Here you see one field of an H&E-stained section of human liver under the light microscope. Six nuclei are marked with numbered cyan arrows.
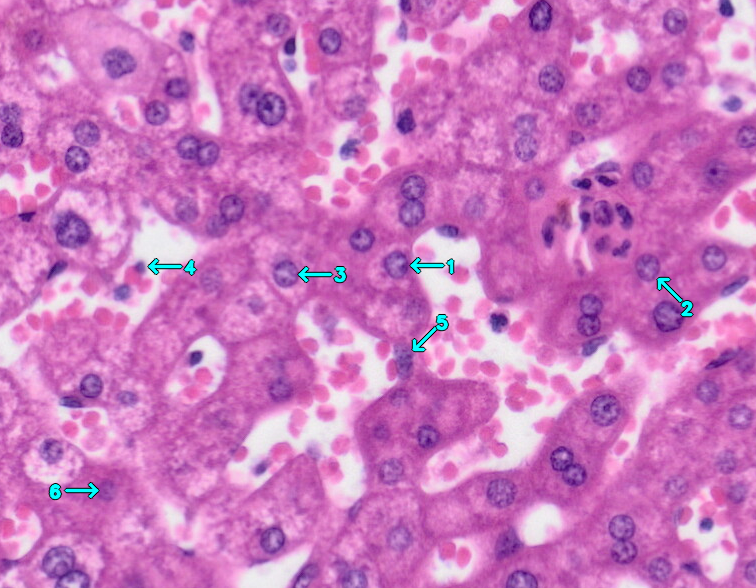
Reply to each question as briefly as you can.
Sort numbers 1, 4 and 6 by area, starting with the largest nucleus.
1, 6, 4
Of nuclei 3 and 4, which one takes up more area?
3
